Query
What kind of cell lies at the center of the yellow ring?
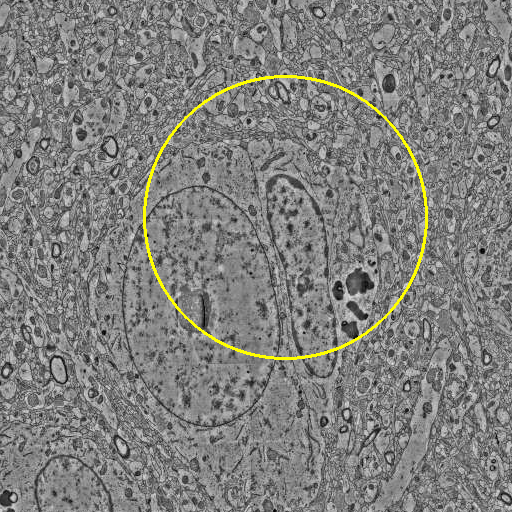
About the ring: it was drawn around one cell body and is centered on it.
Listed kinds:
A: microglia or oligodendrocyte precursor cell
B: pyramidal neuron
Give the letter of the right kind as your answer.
A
